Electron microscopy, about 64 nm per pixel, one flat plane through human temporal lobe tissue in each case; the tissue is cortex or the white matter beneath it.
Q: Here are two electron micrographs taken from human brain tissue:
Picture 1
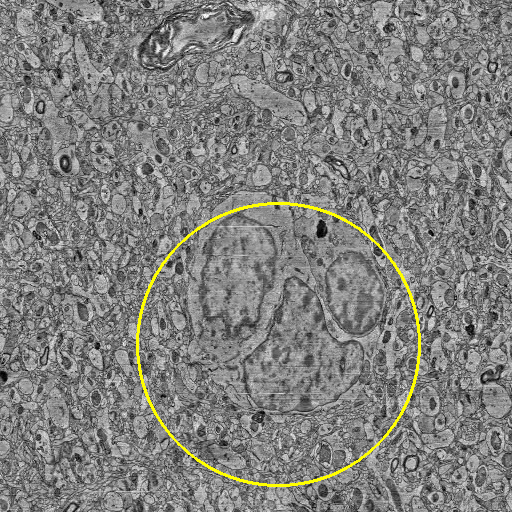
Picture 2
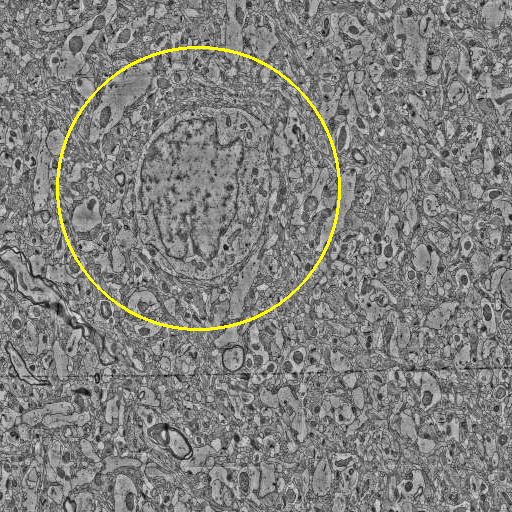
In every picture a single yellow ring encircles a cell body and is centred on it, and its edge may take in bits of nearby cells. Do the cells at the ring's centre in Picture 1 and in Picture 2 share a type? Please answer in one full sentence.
No, the cells at the ring's centre in Picture 1 and Picture 2 are of two types.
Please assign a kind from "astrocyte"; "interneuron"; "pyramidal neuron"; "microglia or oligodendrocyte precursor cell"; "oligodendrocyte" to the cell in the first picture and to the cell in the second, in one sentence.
In the first picture we have a microglial cell or oligodendrocyte precursor cell, and in the second, an interneuron.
